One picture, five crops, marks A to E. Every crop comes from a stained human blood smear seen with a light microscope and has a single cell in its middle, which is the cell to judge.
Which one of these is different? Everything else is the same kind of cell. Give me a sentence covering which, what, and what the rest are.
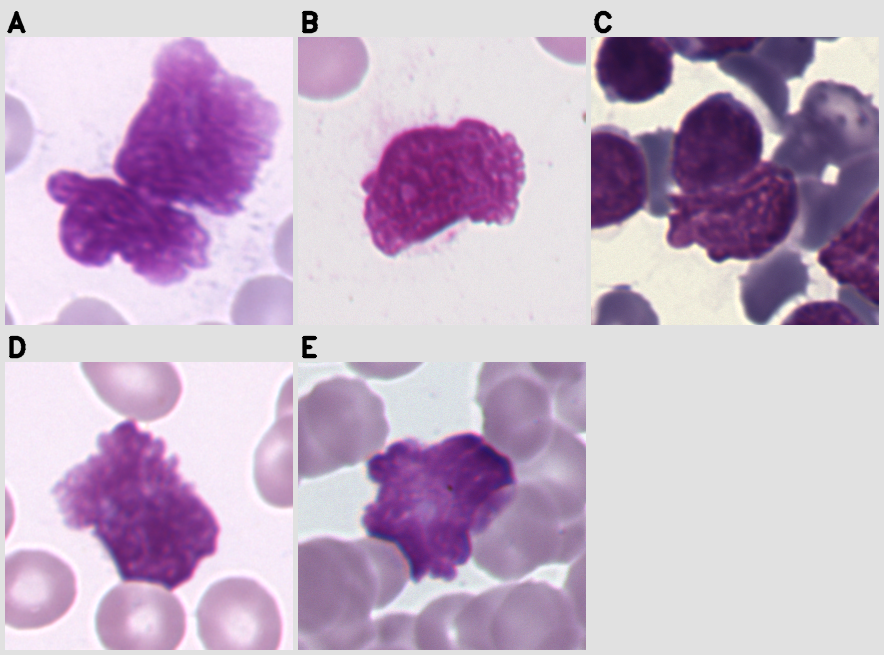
Crop C is the different one, a myeloblast, while the rest are smudge cells.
